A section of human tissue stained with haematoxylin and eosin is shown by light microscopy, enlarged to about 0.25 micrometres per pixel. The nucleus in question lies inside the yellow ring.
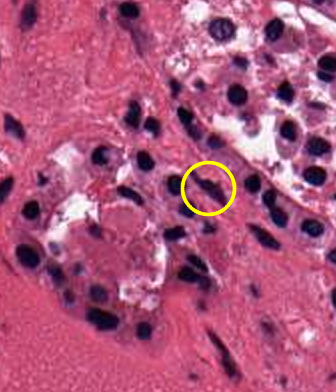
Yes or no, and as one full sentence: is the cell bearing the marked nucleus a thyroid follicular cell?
No, the marked nucleus belongs to a supporting cell of connective tissue, a vessel or the immune system, not to a thyroid follicular cell.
